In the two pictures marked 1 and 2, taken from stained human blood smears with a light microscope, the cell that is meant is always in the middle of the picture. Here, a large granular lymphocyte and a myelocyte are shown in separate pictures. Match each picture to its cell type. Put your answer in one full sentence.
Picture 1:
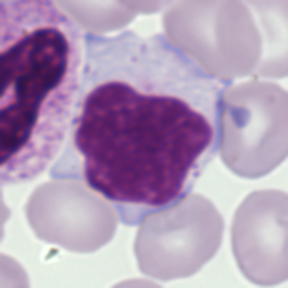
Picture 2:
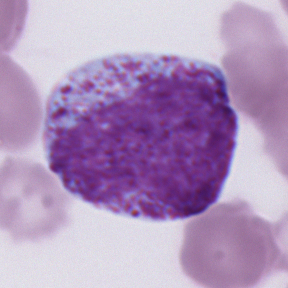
Picture 1 is of a large granular lymphocyte, and picture 2 is of a myelocyte.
